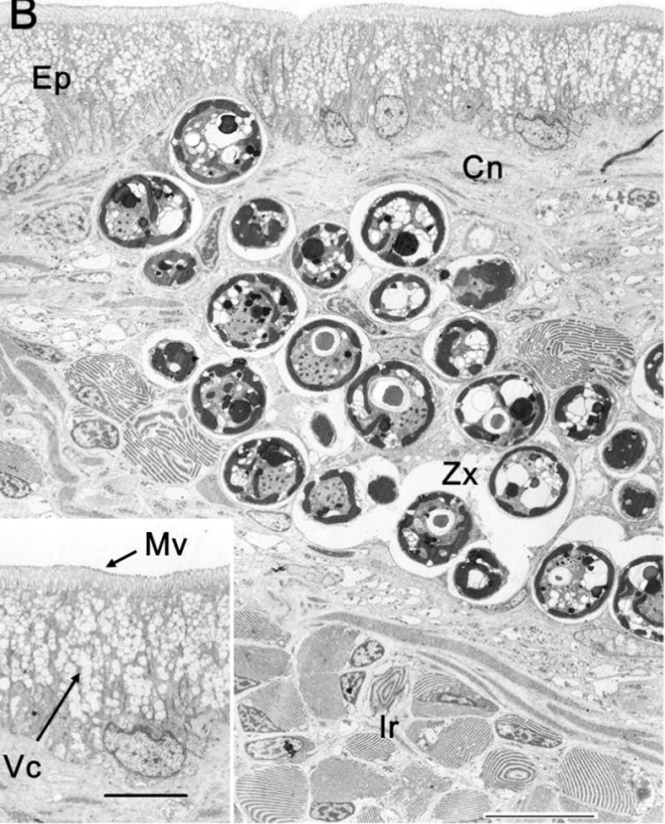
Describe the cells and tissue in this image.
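This is the mantle, with a surface epithelium of tall cells, connective tissue beneath it, and a cluster of round zooxanthellae. The epithelial cells have a fringe of microvilli at the free surface and apical cytoplasm packed with small pale vacuoles, with their nuclei lying toward the base.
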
